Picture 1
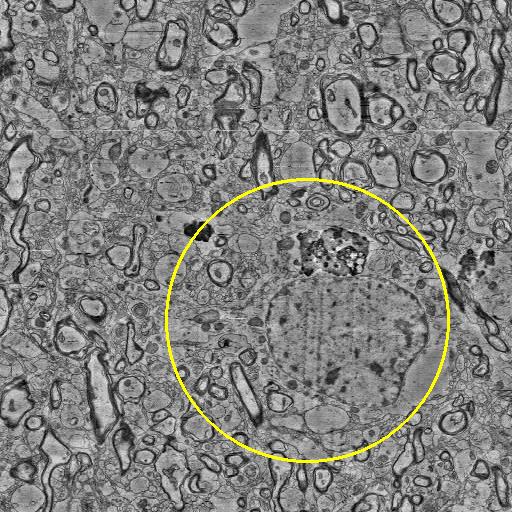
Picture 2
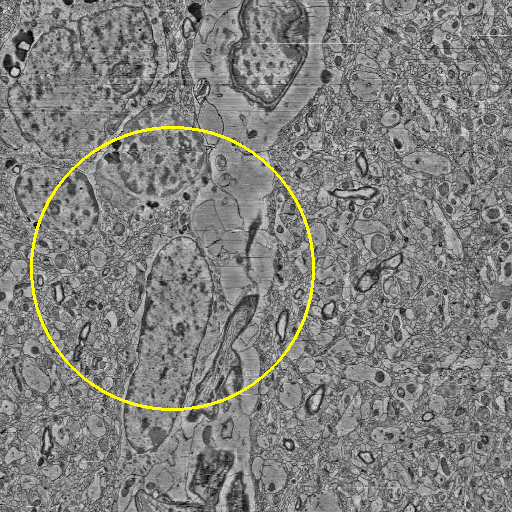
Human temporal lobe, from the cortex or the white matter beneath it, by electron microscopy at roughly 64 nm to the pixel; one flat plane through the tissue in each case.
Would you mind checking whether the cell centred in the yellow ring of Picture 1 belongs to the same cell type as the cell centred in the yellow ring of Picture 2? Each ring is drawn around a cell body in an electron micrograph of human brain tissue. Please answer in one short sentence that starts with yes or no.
No, the two cells are of two types.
